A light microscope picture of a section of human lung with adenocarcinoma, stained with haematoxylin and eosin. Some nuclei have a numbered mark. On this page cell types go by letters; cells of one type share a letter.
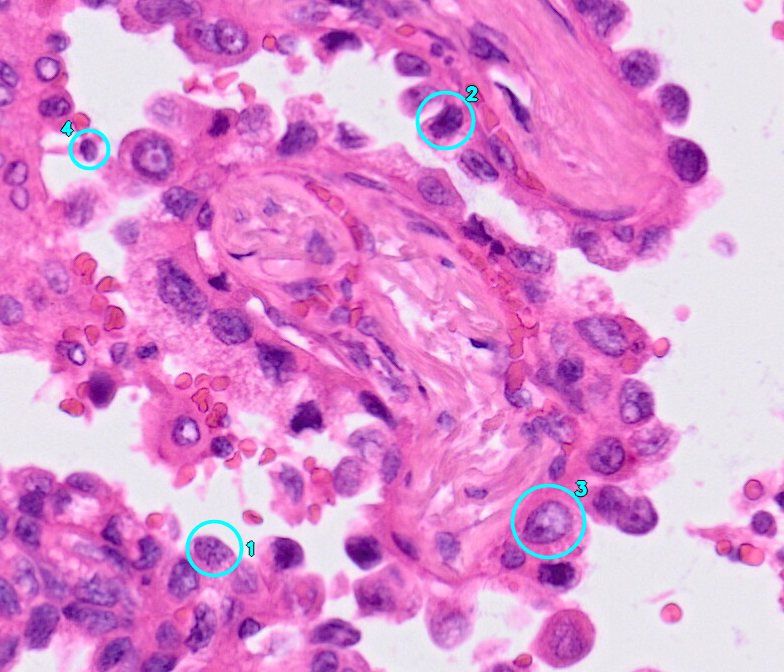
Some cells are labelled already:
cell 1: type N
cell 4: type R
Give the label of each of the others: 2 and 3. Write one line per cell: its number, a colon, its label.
2: type N
3: type N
